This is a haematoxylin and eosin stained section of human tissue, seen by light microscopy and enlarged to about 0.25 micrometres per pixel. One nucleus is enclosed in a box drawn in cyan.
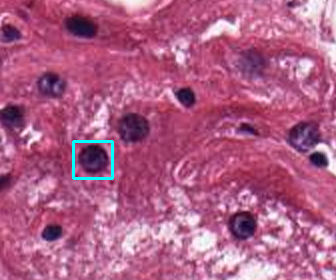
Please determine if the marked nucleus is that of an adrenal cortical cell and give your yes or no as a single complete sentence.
Yes, in the picture the marked nucleus belongs to an adrenal cortical cell.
